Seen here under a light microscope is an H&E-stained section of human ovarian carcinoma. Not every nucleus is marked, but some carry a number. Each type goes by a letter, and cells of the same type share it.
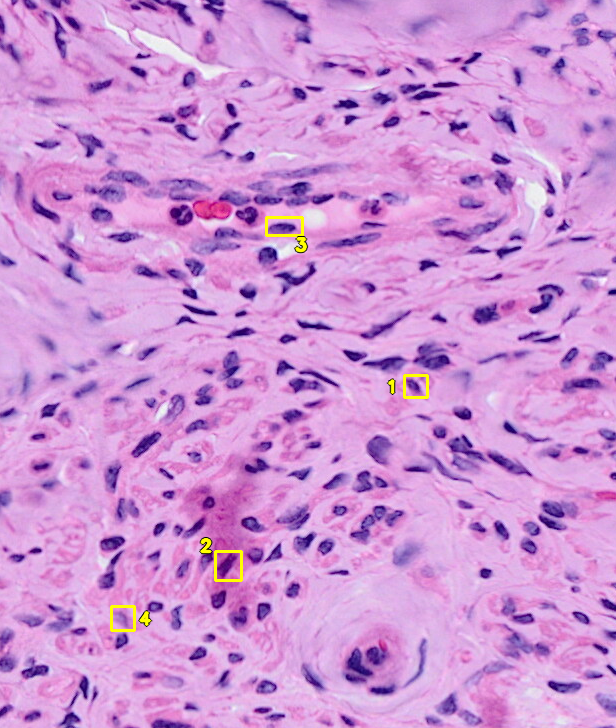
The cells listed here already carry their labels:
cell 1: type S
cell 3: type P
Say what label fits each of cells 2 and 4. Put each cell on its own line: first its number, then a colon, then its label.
2: type S
4: type S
